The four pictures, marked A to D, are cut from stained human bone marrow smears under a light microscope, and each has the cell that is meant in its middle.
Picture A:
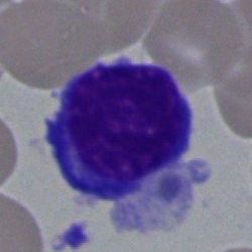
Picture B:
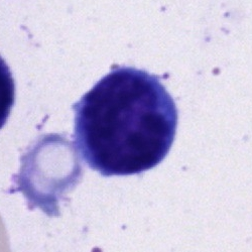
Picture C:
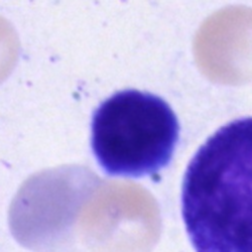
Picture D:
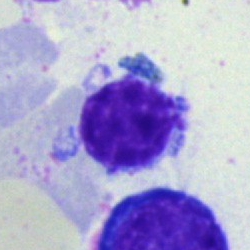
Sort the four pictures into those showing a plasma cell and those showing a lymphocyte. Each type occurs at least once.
A: plasma cell
B: lymphocyte
C: lymphocyte
D: lymphocyte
